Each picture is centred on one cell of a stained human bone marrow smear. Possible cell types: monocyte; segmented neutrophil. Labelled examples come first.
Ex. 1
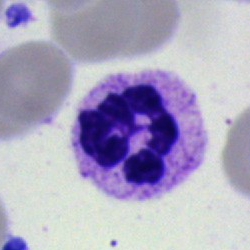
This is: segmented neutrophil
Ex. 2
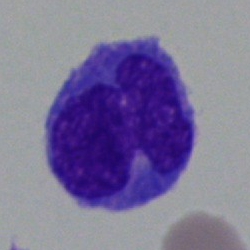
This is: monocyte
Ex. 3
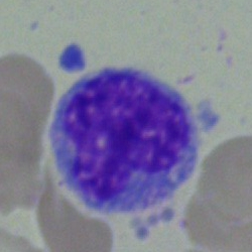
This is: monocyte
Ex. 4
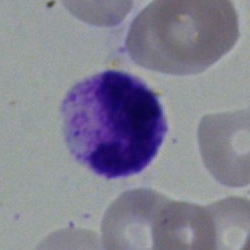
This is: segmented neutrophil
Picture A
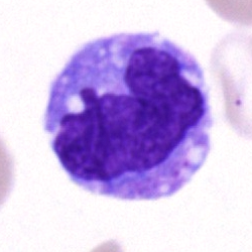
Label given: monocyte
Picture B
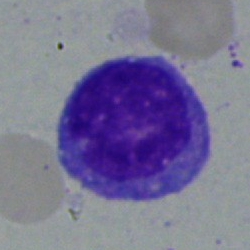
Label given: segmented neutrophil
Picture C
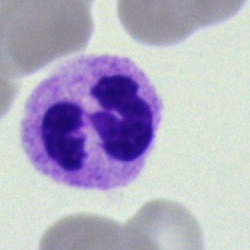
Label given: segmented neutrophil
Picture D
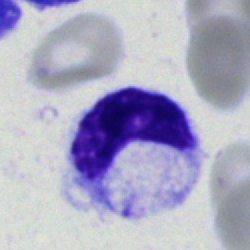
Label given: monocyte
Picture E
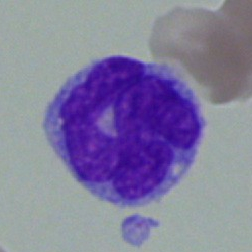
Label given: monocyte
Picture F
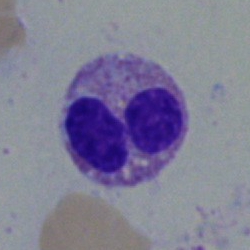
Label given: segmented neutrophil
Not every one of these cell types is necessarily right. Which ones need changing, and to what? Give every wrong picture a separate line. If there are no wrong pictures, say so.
B: not segmented neutrophil but monocyte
